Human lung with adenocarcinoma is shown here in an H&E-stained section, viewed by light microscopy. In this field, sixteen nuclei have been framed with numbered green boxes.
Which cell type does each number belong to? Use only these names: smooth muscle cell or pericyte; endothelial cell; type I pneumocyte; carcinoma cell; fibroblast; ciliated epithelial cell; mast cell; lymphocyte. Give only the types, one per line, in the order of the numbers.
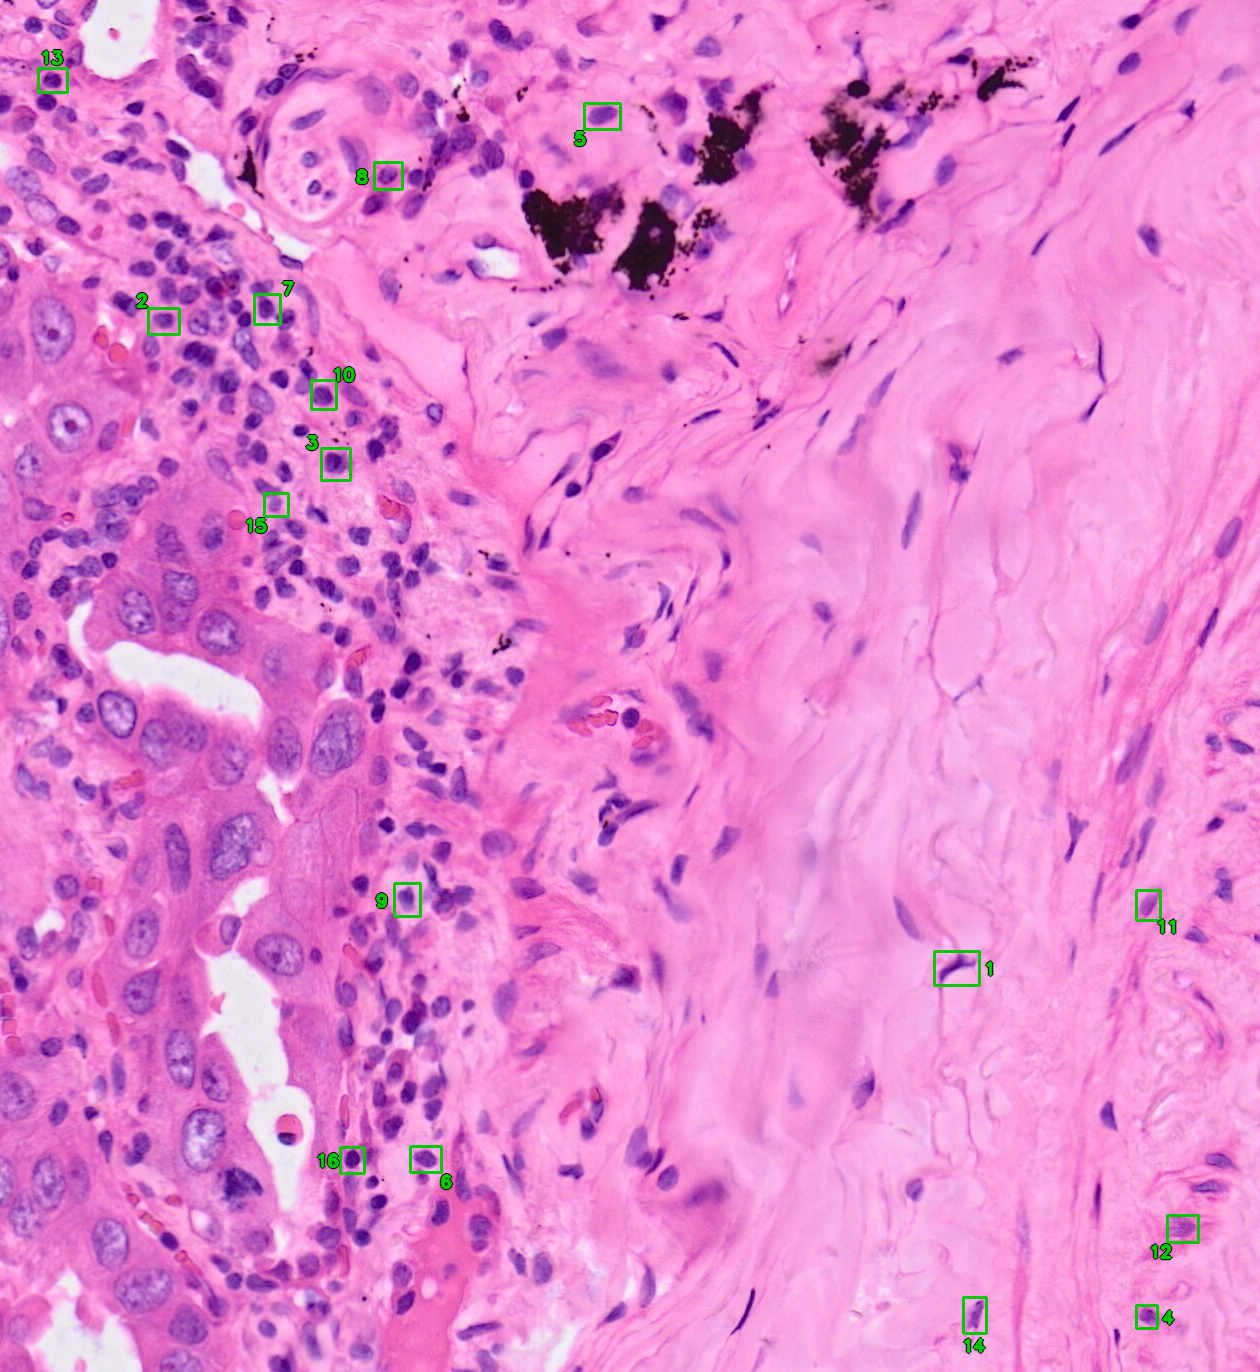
fibroblast
lymphocyte
lymphocyte
smooth muscle cell or pericyte
mast cell
lymphocyte
lymphocyte
mast cell
lymphocyte
lymphocyte
smooth muscle cell or pericyte
smooth muscle cell or pericyte
lymphocyte
fibroblast
lymphocyte
lymphocyte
